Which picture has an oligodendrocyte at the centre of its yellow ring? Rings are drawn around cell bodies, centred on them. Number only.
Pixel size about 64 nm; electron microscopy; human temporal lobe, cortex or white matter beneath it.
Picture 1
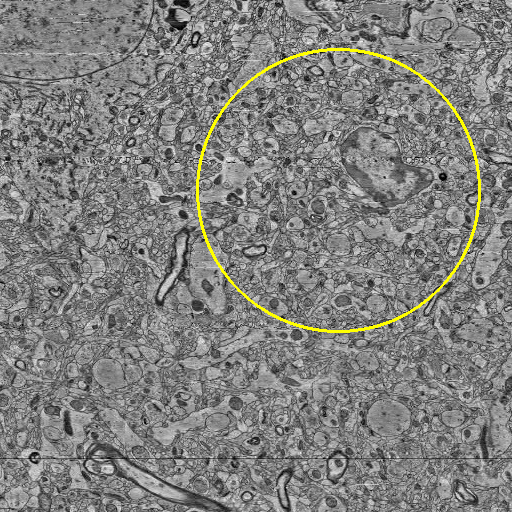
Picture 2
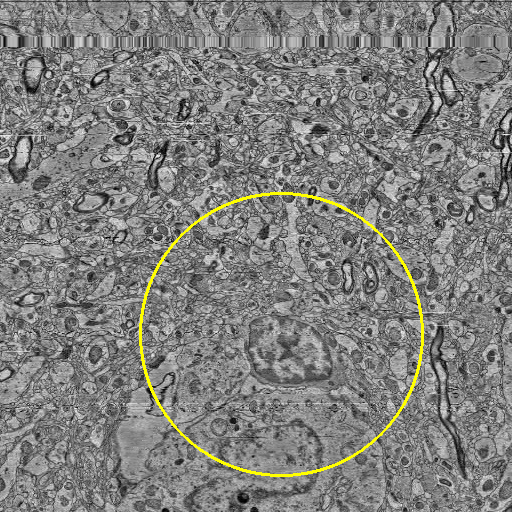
2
